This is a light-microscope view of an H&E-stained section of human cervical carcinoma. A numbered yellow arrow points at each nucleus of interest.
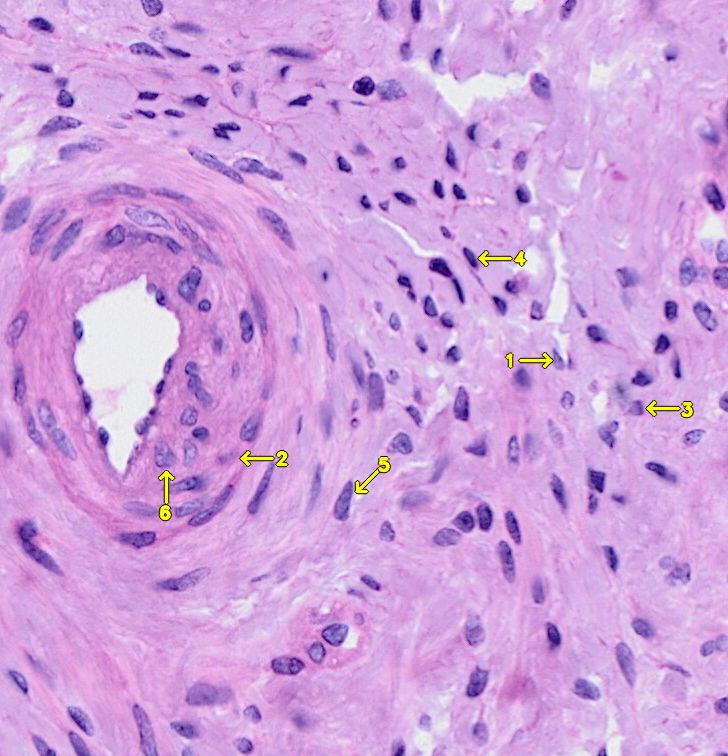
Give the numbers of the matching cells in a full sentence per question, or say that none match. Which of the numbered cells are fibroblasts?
Marked by the numbers 1, 3, 4 and 5 are cells that are fibroblasts.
